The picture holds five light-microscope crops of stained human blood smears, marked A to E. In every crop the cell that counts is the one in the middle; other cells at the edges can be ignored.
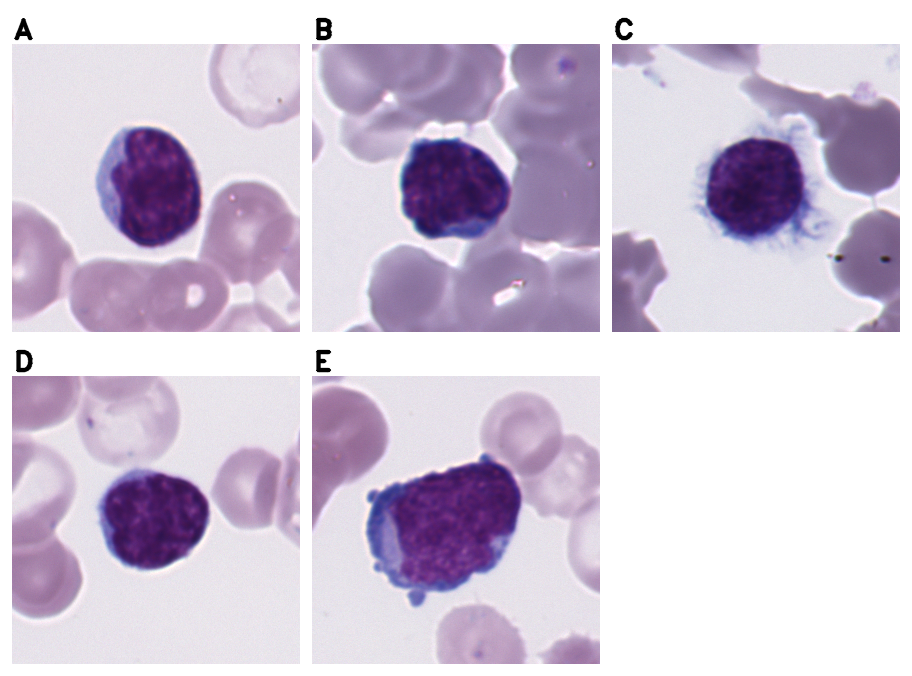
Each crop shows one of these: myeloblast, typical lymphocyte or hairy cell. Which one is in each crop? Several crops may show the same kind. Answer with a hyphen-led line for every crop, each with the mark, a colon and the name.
- A: typical lymphocyte
- B: typical lymphocyte
- C: hairy cell
- D: typical lymphocyte
- E: myeloblast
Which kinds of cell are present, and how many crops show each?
typical lymphocyte: 3
hairy cell: 1
myeloblast: 1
